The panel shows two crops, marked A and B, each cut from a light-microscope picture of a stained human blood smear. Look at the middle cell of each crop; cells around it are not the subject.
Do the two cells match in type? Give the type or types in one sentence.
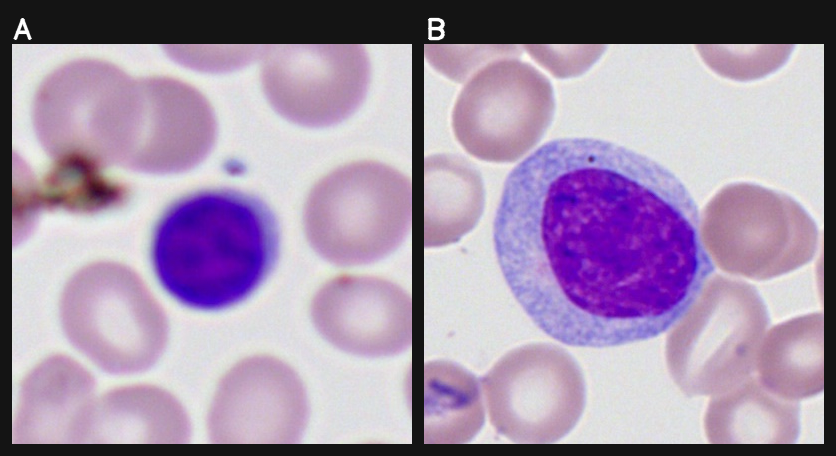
No, just to correct that: crop A shows a lymphocyte, crop B shows a myeloblast.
